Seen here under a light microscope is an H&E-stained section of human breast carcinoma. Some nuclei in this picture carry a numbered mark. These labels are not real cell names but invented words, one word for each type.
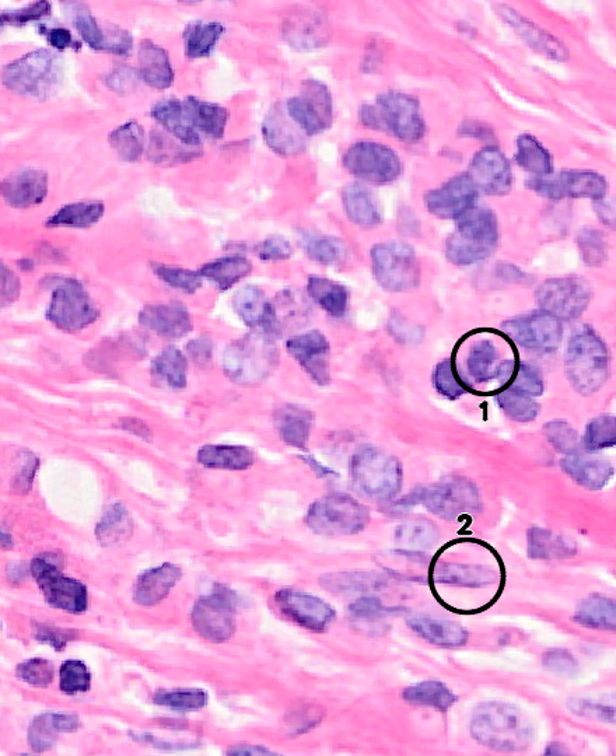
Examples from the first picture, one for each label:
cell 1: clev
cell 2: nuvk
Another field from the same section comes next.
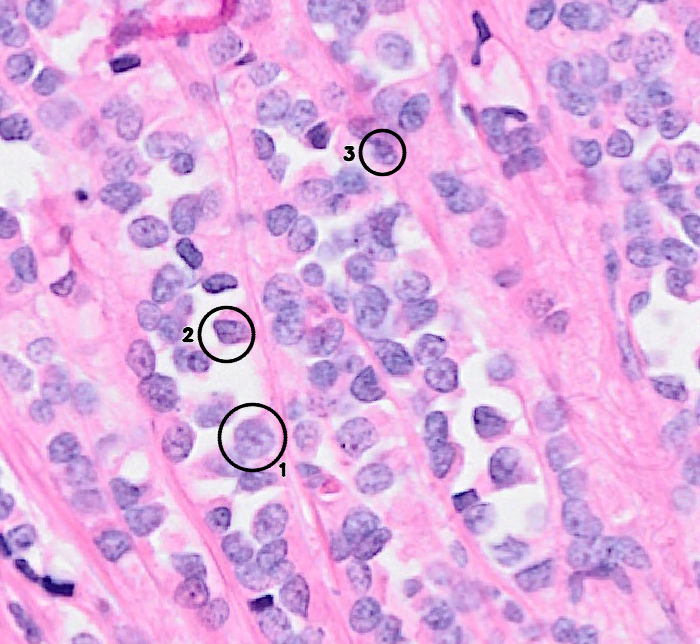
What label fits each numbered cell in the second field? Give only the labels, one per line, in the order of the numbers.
clev
clev
nuvk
